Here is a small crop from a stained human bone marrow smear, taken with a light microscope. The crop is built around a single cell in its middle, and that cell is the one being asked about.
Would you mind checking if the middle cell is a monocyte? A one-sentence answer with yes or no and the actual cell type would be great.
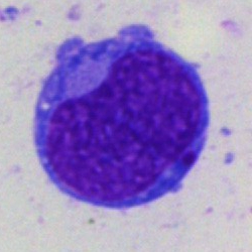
No, the middle cell is classified as a blast and not as a monocyte.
